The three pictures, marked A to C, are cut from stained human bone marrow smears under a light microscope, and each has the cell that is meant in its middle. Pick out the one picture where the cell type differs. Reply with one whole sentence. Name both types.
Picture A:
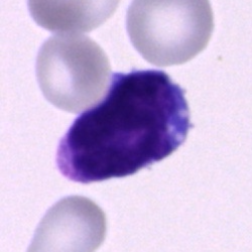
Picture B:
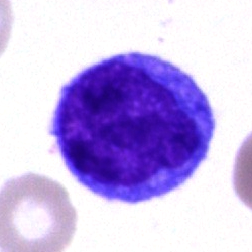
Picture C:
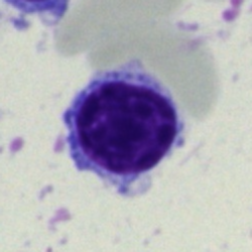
Unlike the rest, which show blasts, picture C shows a lymphocyte.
